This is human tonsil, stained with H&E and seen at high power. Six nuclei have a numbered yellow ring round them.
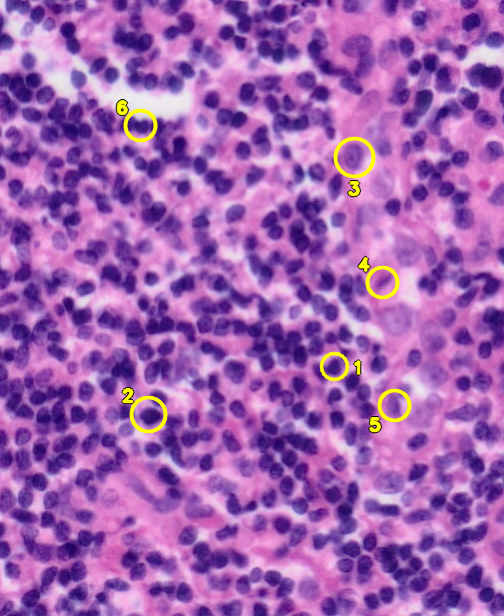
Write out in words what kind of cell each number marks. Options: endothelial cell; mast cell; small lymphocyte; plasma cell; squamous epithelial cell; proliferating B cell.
Cell 1 is a small lymphocyte, cell 2 is a small lymphocyte, cell 3 is an endothelial cell, cell 4 is an endothelial cell, cell 5 is an endothelial cell and cell 6 is a small lymphocyte.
